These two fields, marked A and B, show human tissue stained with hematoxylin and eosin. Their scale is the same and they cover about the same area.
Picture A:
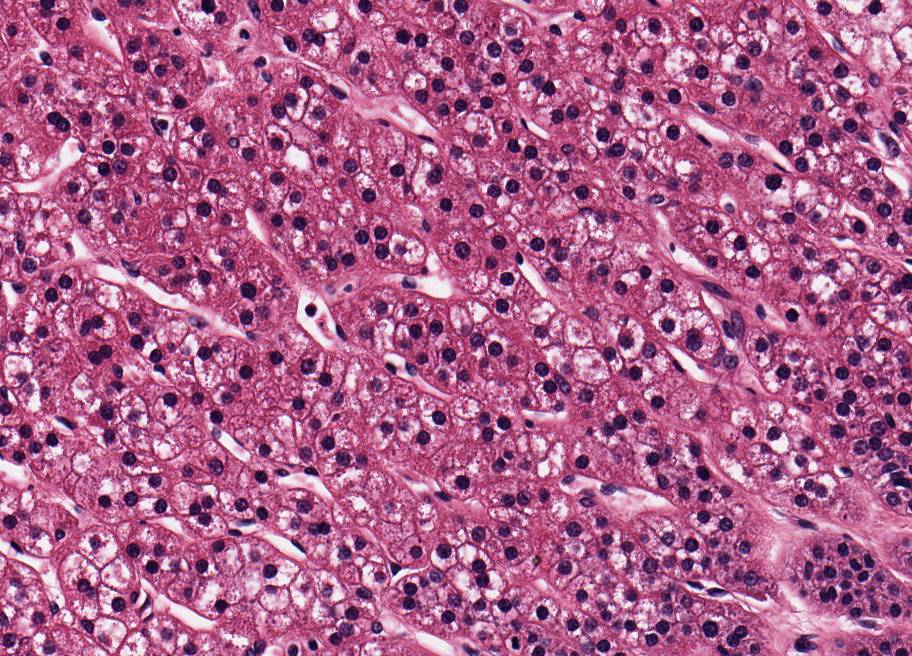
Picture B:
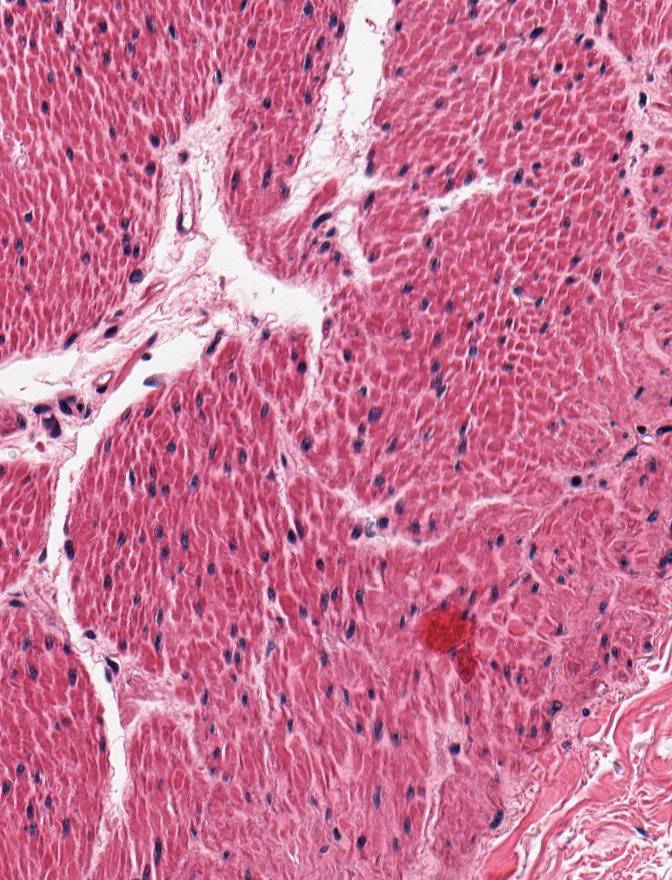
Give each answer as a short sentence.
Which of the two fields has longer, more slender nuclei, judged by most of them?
The nuclei are more elongated in picture B.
